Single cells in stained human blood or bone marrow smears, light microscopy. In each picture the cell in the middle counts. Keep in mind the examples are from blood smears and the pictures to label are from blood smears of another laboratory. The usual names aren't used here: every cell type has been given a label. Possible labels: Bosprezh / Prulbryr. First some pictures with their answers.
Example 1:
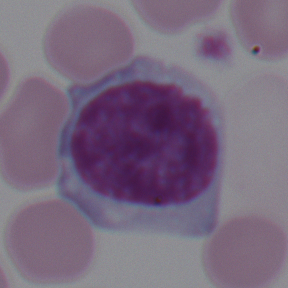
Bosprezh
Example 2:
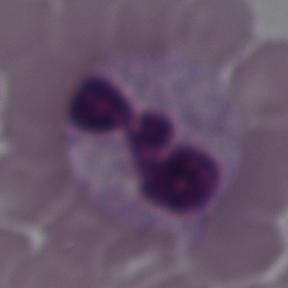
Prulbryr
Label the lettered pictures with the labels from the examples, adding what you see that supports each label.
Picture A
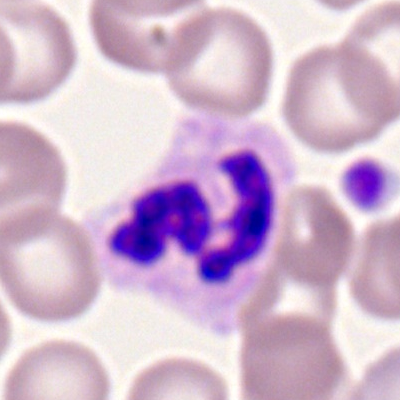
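Answer: Prulbryr. The cytoplasm is plentiful and pale pinkish-lilac.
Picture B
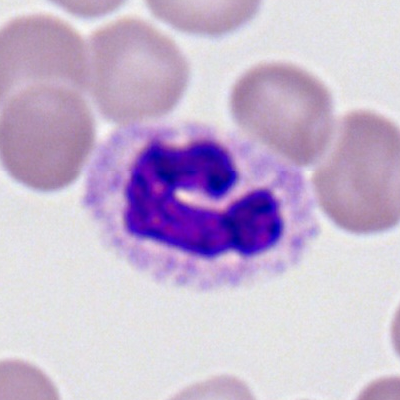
Answer: Prulbryr. The nucleus is a curved, folded band that bends around a pale central cleft.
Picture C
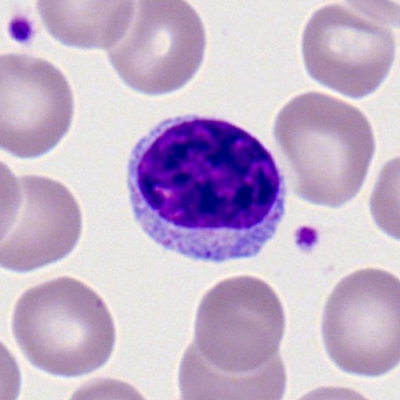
Answer: Bosprezh. The nucleus fills most of the cell.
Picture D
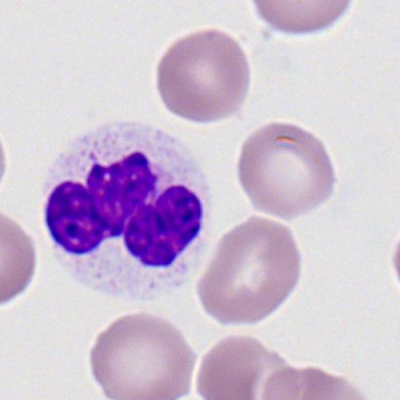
Answer: Prulbryr. There is plenty of pale pinkish-lilac cytoplasm around the nucleus.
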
